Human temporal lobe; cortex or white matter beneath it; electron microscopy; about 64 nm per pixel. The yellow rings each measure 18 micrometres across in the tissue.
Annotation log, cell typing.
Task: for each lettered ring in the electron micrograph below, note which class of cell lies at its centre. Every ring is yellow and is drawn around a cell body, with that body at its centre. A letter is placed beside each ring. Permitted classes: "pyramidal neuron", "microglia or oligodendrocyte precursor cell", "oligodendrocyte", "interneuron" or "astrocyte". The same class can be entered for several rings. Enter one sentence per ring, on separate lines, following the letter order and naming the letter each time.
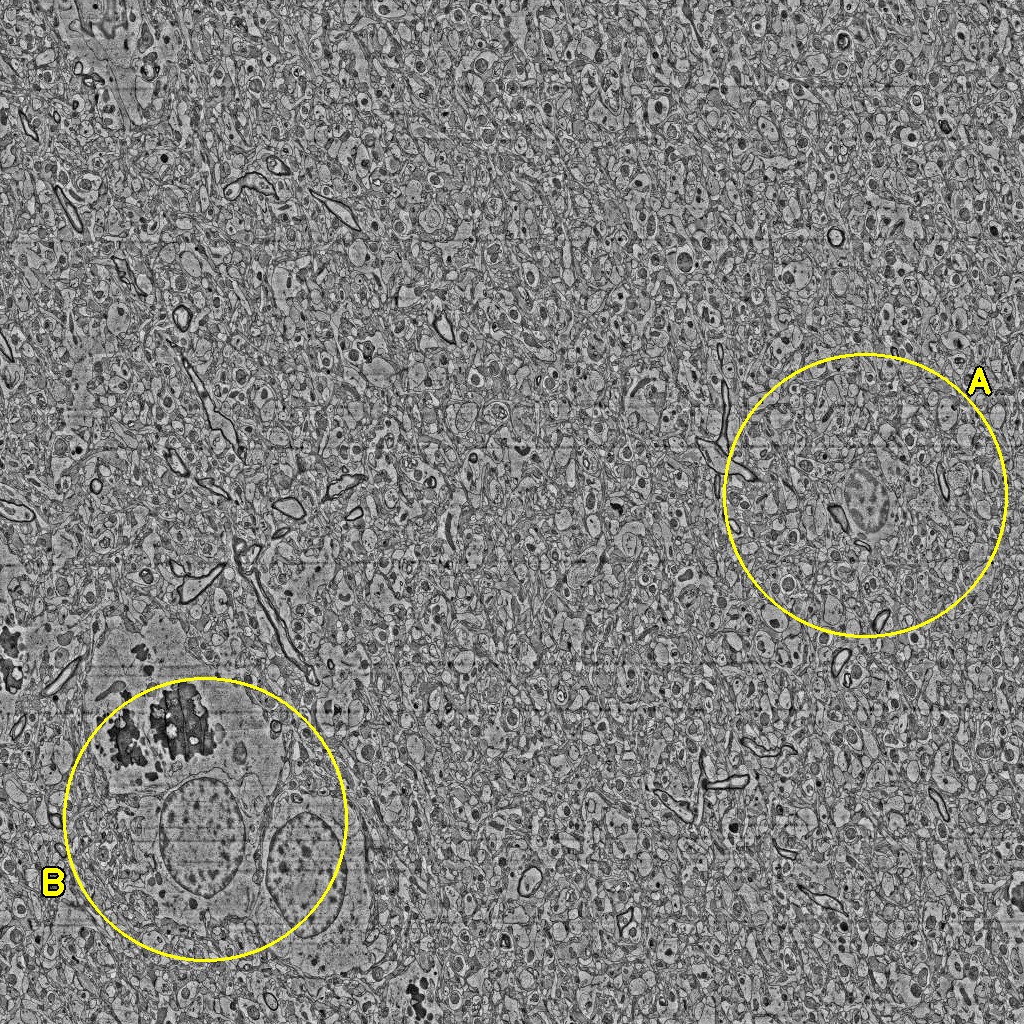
The cell at the centre of ring A is an oligodendrocyte.
The cell at the centre of ring B is an astrocyte.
